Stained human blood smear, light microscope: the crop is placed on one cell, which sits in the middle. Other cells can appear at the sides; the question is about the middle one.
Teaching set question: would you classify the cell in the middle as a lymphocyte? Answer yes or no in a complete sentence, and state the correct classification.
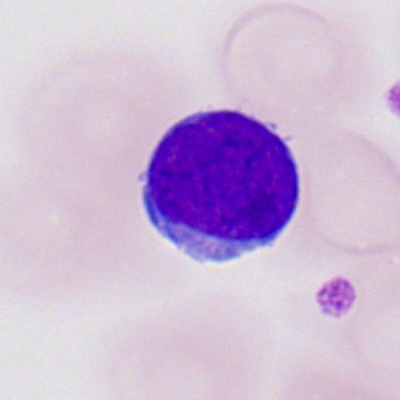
Yes, the cell at the midpoint of the crop is a lymphocyte.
